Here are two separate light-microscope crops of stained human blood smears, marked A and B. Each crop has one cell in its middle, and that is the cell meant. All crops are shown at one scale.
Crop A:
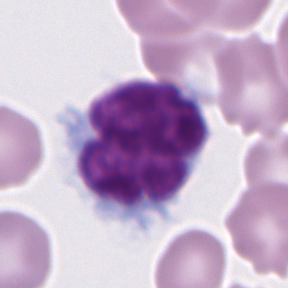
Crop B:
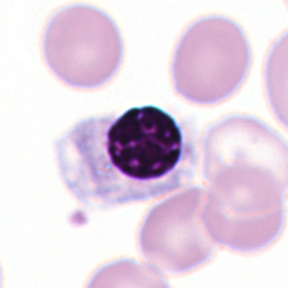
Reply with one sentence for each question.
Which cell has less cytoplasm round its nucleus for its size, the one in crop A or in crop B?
In crop A the nucleus takes up the larger part of its cell.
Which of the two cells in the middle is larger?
The cell in crop A is larger, with about 2 times the area of the one in crop B.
